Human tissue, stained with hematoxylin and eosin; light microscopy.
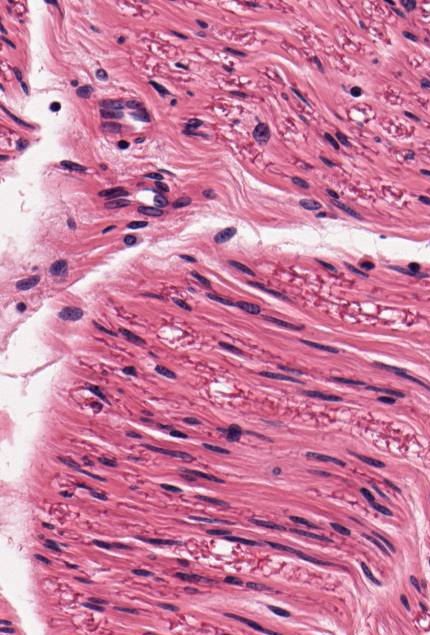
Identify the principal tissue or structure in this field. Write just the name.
nerve fascicle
